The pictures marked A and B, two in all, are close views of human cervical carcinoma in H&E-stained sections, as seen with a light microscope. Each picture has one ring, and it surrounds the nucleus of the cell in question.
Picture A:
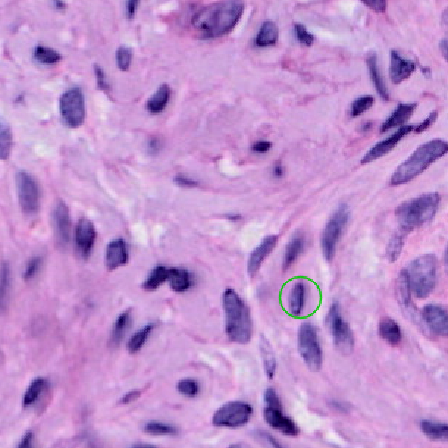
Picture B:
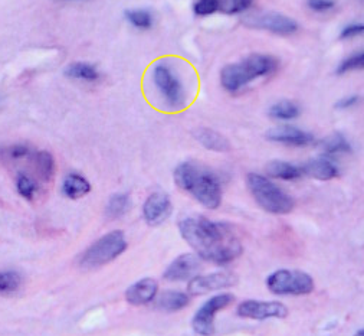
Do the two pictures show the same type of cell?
yes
